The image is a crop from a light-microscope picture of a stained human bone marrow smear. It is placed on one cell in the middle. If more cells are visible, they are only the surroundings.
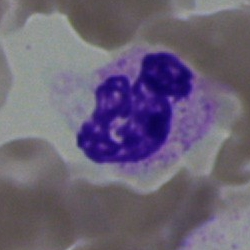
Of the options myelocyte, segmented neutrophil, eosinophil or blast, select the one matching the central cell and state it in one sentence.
The centered cell in this crop is a segmented neutrophil.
